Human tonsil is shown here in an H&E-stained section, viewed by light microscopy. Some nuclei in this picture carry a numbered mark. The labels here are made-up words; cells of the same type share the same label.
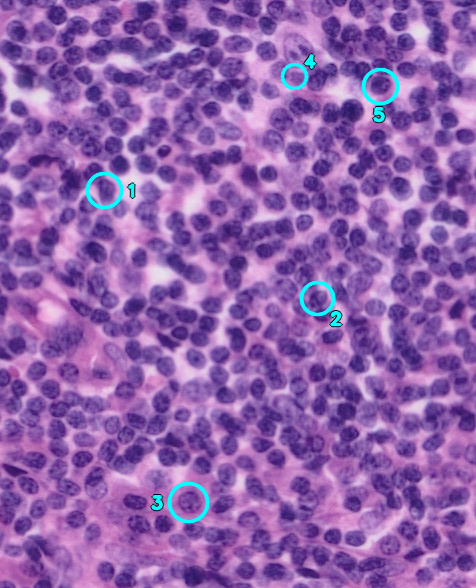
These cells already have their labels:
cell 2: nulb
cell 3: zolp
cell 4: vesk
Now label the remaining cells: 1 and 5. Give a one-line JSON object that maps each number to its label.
{"1": "nulb", "5": "nulb"}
